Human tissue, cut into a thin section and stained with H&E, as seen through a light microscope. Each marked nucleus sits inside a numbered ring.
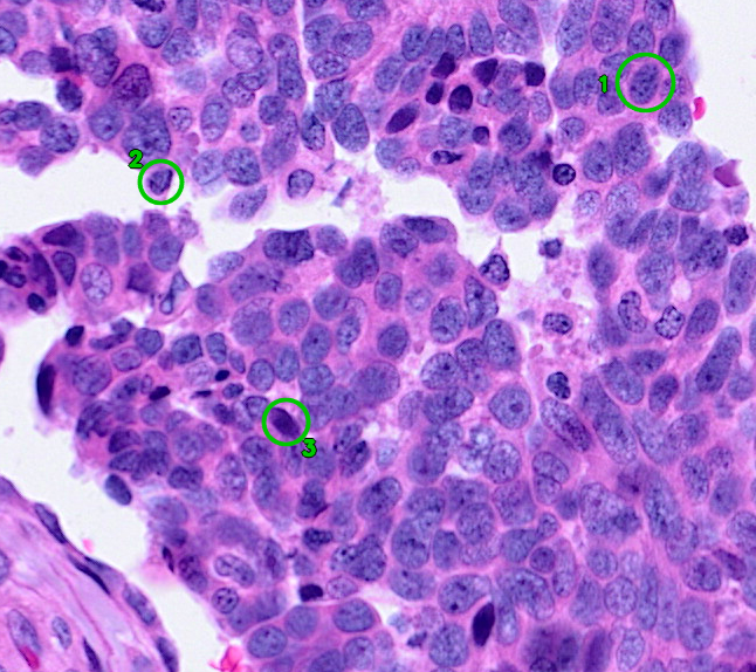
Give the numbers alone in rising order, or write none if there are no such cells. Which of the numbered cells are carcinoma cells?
1, 3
